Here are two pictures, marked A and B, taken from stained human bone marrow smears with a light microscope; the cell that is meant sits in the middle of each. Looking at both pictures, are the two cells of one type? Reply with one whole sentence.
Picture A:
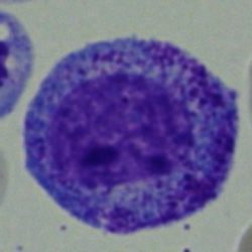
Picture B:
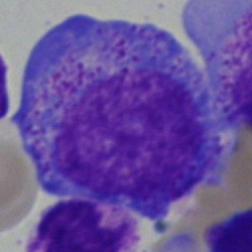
Yes, both cells are promyelocytes.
